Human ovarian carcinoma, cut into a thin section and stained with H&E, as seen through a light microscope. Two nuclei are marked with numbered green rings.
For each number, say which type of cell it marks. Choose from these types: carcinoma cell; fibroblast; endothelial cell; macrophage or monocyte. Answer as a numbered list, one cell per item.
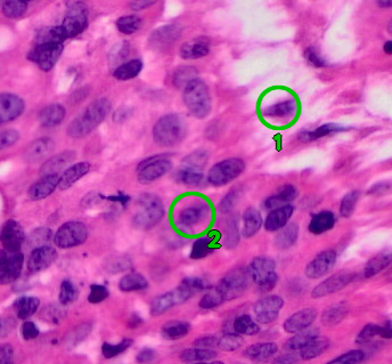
1. fibroblast
2. carcinoma cell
